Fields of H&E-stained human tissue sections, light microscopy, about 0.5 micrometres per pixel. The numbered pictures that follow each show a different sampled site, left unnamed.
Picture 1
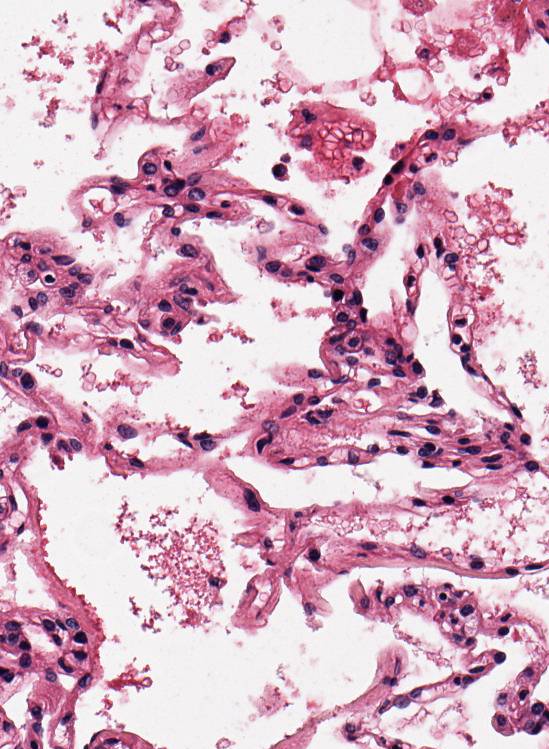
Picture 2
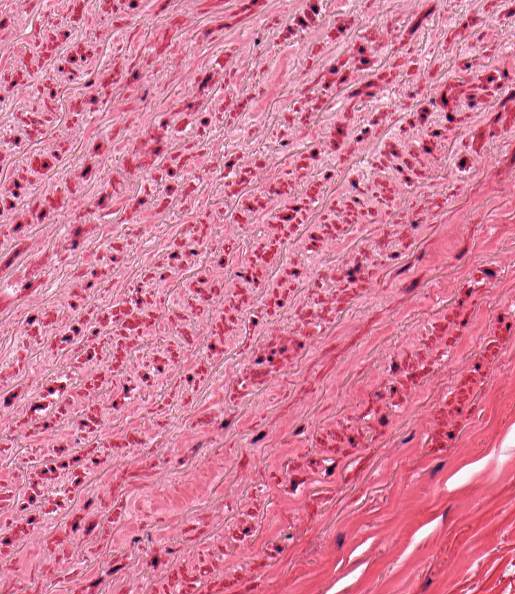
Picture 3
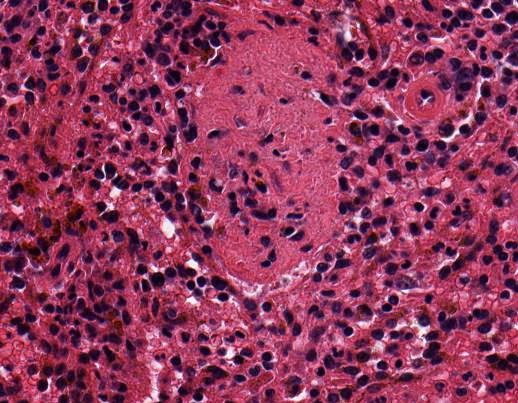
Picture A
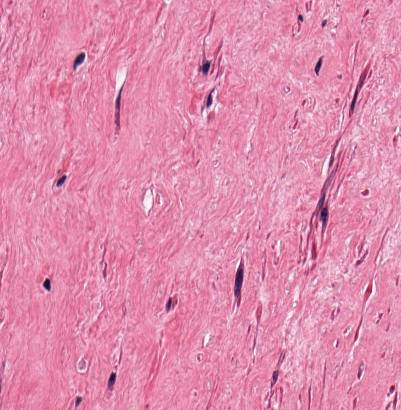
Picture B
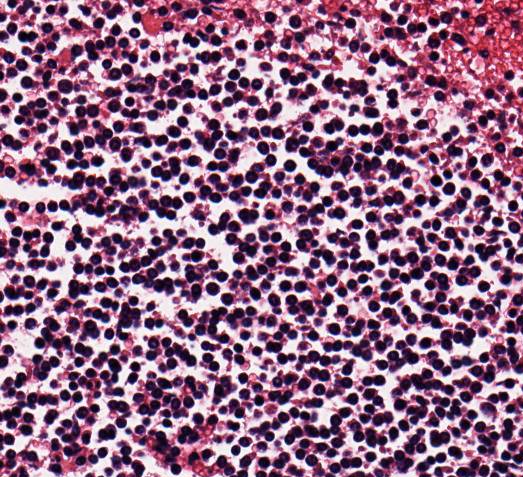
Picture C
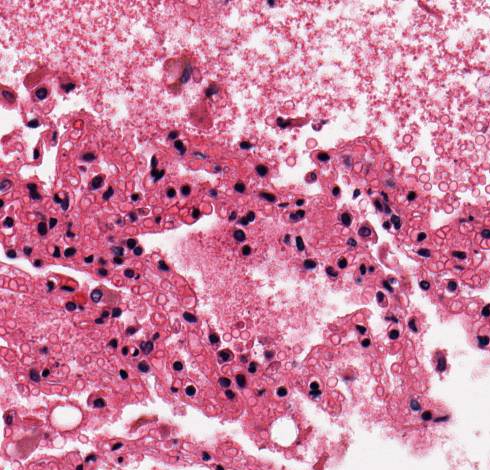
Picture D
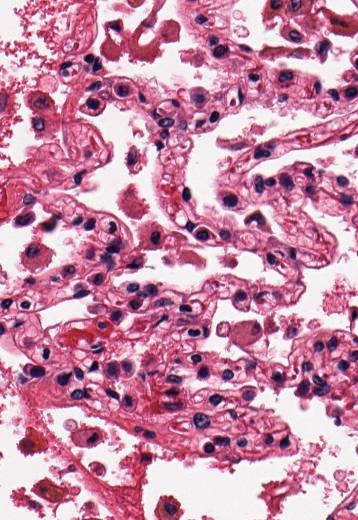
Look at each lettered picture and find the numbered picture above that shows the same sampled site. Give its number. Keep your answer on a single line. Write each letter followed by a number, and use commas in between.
A 2, B 3, C 1, D 1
